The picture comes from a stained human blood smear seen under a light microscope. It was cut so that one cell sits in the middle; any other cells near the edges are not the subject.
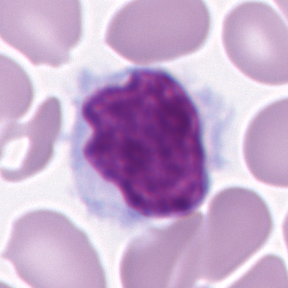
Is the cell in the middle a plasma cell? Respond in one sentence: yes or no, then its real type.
No, the centre cell counts as a hairy cell, not as a plasma cell.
